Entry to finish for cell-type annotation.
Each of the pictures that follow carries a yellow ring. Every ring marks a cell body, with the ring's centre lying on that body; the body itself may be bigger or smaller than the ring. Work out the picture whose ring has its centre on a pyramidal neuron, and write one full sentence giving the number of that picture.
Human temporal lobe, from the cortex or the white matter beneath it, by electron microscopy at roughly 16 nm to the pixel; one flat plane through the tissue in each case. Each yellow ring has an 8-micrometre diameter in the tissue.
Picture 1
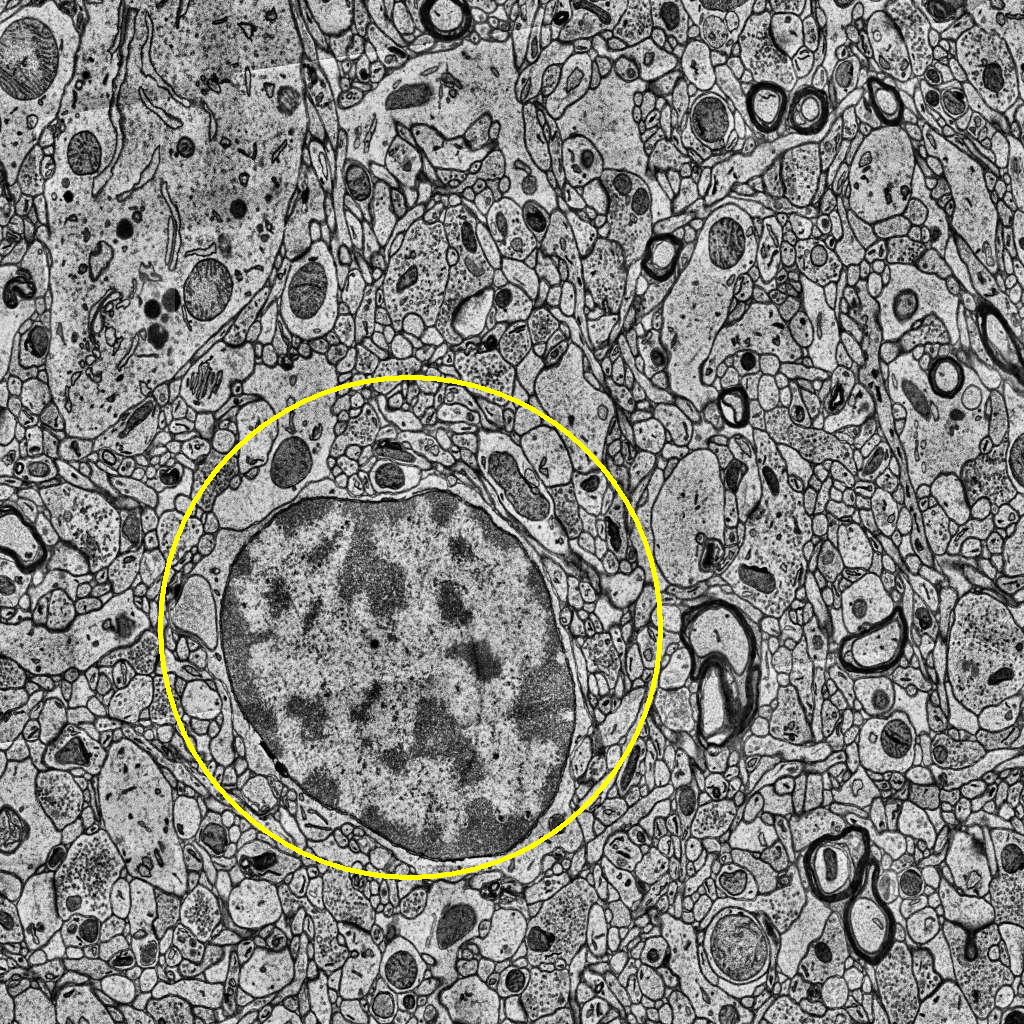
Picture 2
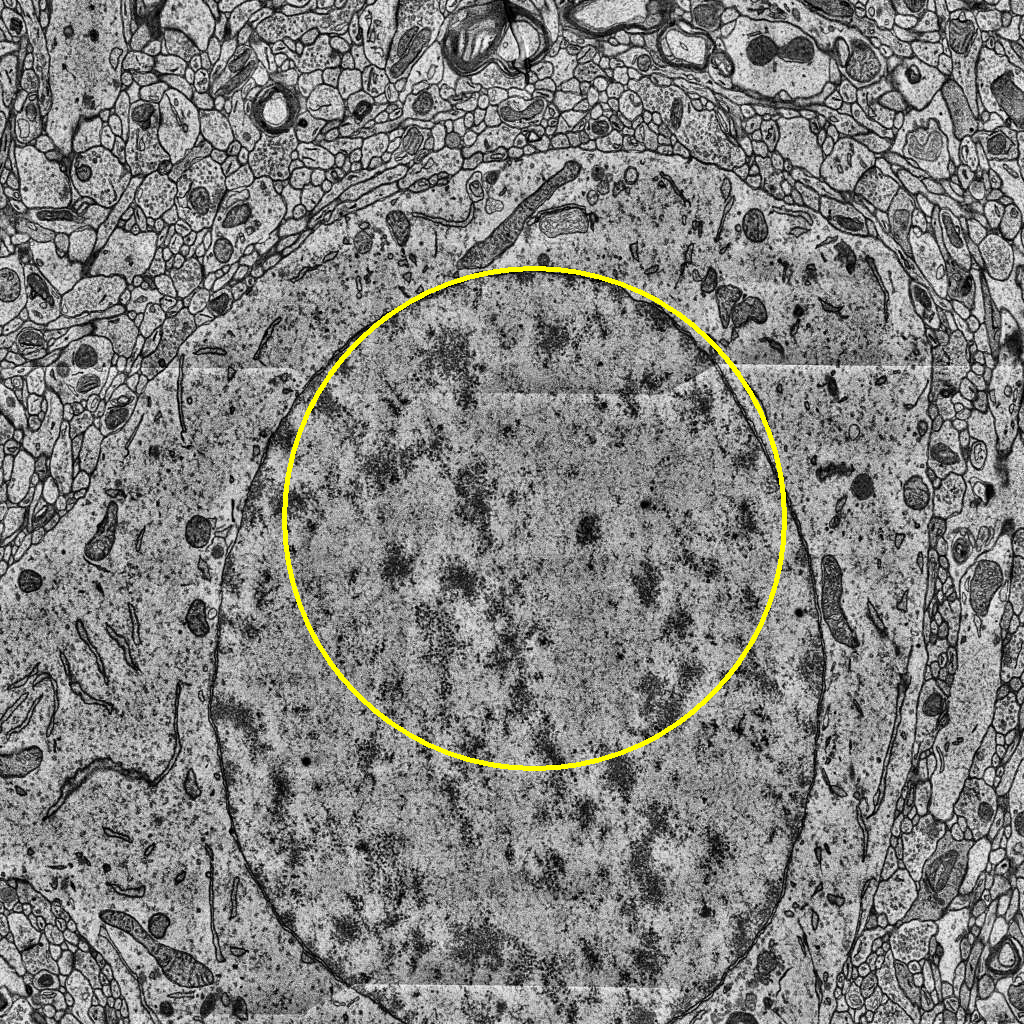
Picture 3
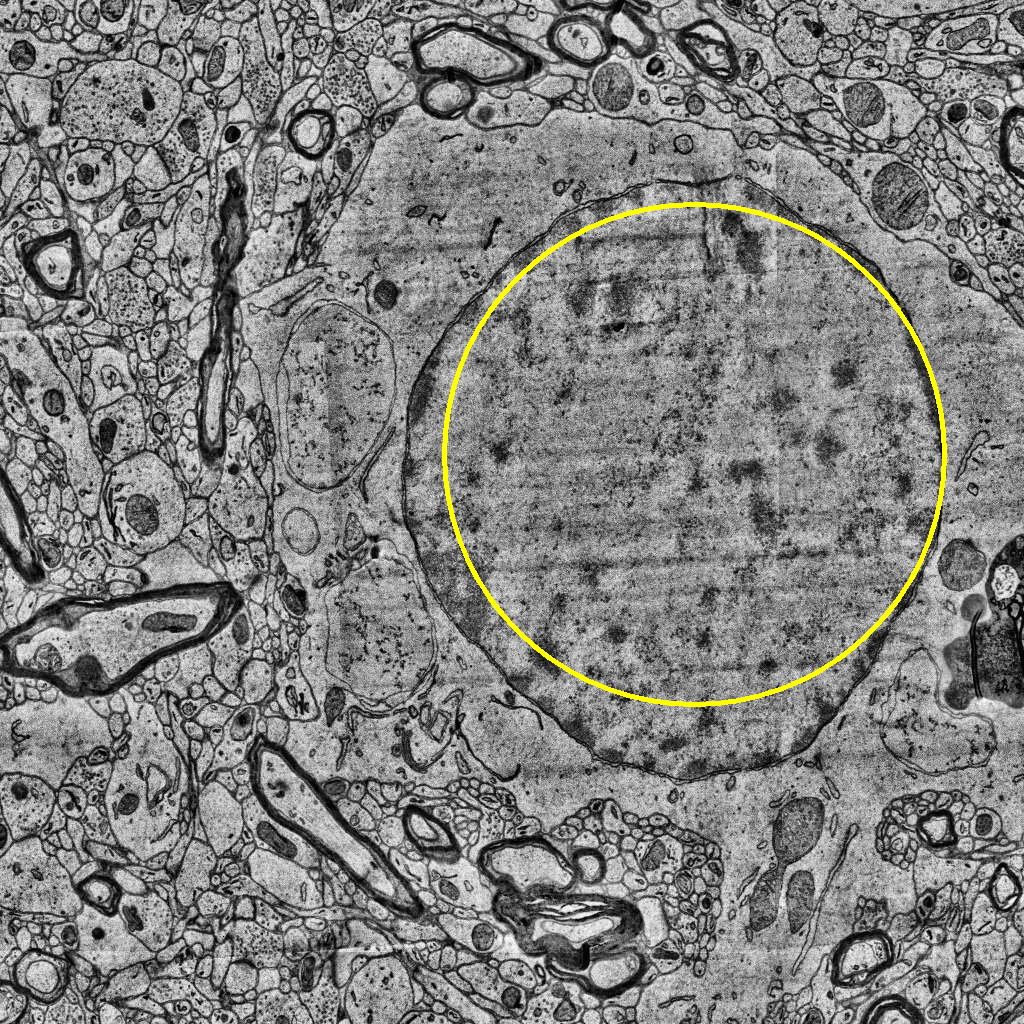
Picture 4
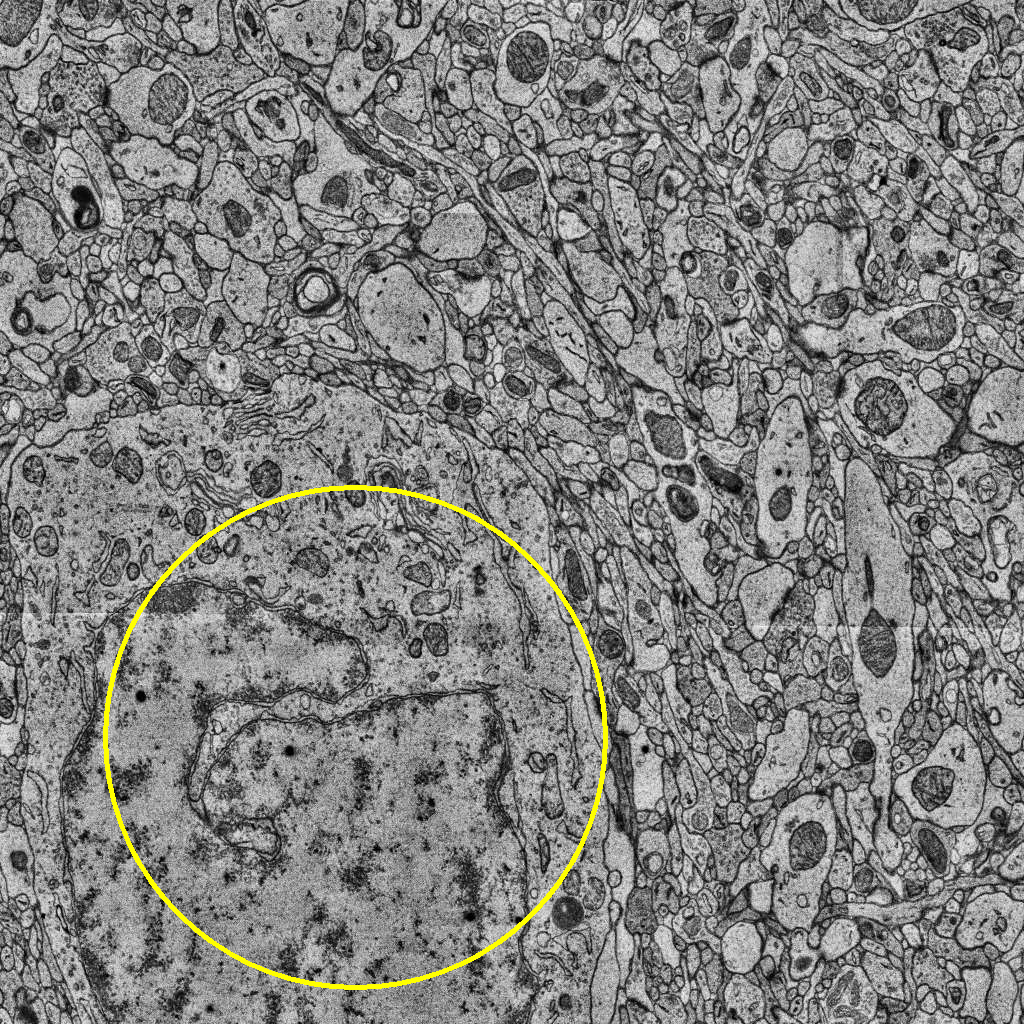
The cell lying at the ring's centre in picture 2 matches the request.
